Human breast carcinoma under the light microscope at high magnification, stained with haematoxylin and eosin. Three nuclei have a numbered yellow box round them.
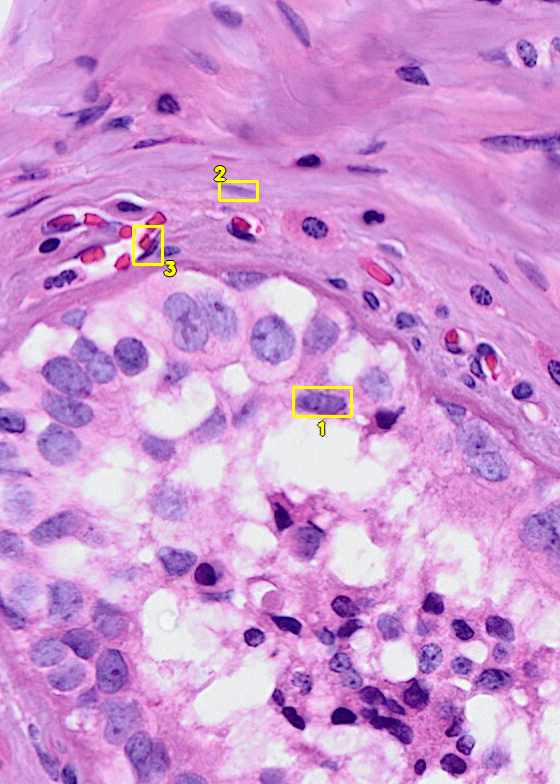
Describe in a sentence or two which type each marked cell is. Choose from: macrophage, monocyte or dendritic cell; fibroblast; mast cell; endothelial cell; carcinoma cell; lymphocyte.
Cell 1 is a carcinoma cell, cell 2 is a fibroblast and cell 3 is an endothelial cell.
